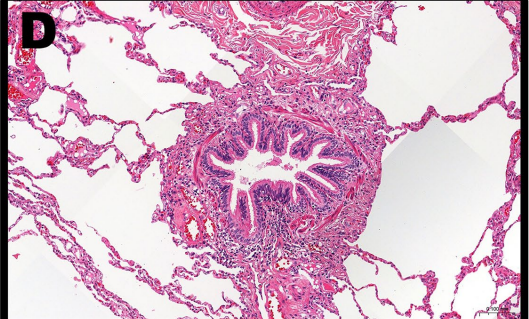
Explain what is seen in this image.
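Lung tissue with a small airway cut across in the centre, lined by folded columnar epithelium with dark, tall nuclei around a star-shaped lumen. A cuff of pink connective tissue around the airway holds many scattered small dark nuclei, and small blood vessels lie next to it. Beyond lie thin-walled alveoli, some of them widened.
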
